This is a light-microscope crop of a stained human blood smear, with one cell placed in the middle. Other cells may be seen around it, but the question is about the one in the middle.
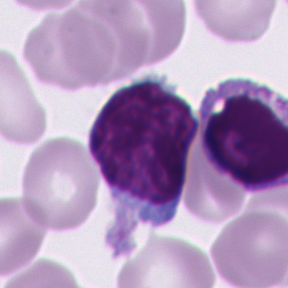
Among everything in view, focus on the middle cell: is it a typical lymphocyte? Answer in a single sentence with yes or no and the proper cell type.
Yes, the cell centred in the field of view is a typical lymphocyte.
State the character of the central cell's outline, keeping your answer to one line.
Along its border, the cell is uneven, whether by ragged stretches or by projections.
